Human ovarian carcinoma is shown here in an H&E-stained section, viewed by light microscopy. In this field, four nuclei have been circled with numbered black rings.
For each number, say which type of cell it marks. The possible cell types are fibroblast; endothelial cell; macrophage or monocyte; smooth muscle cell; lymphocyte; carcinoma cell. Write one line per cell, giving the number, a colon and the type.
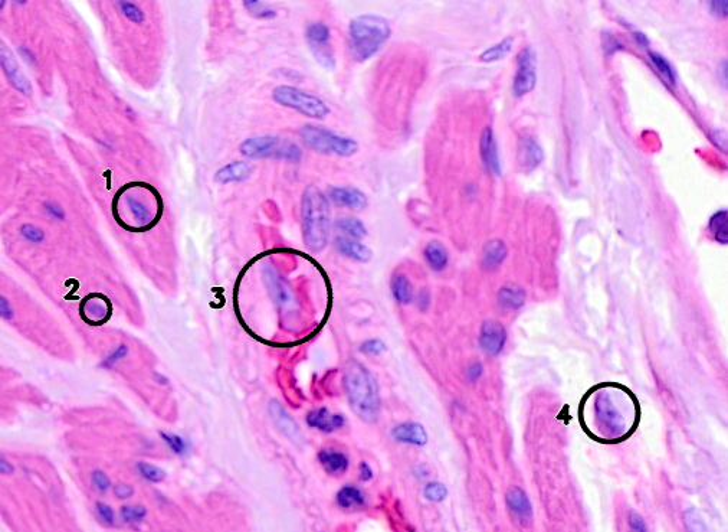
1: smooth muscle cell
2: smooth muscle cell
3: endothelial cell
4: fibroblast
